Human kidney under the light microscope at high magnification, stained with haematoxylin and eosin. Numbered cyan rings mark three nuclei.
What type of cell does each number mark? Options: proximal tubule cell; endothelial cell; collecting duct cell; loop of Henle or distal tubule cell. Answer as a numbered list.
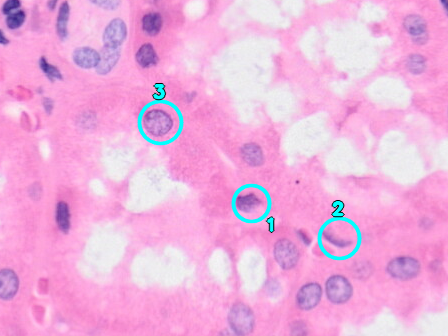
1. proximal tubule cell
2. endothelial cell
3. proximal tubule cell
